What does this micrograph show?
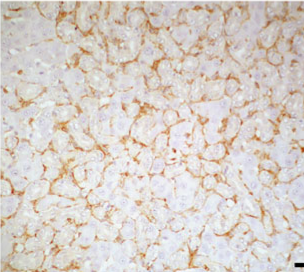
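This is liver tissue in which thin brown-stained cells and their processes weave between the liver cells. The liver cells themselves are large, pale and polygonal, with faint blue nuclei, and they fill the background. Around them the brown stain draws fine lines that meet and branch, so that small groups of liver cells and some rounded pale spaces appear wrapped in a lacy brown net. This meshwork runs across almost the whole field, with denser knots in places. The brown cells are slender and flattened against the liver cells, lying in the spaces between them.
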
